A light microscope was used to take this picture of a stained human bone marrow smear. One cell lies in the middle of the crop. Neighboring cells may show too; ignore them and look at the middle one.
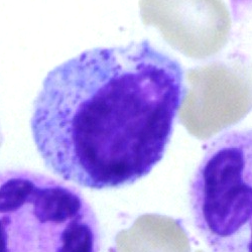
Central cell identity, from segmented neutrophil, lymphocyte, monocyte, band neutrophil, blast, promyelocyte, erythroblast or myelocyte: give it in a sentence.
The middle of this crop holds a myelocyte.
